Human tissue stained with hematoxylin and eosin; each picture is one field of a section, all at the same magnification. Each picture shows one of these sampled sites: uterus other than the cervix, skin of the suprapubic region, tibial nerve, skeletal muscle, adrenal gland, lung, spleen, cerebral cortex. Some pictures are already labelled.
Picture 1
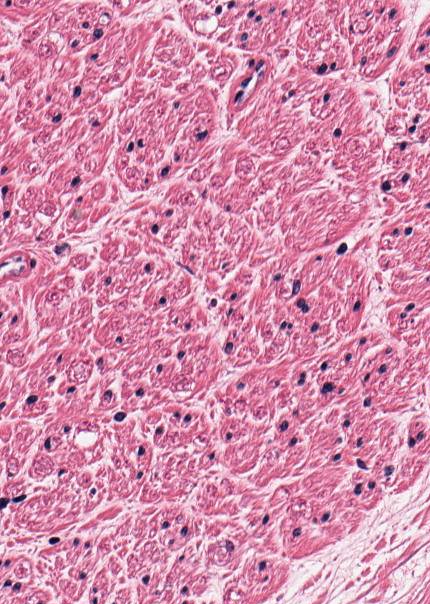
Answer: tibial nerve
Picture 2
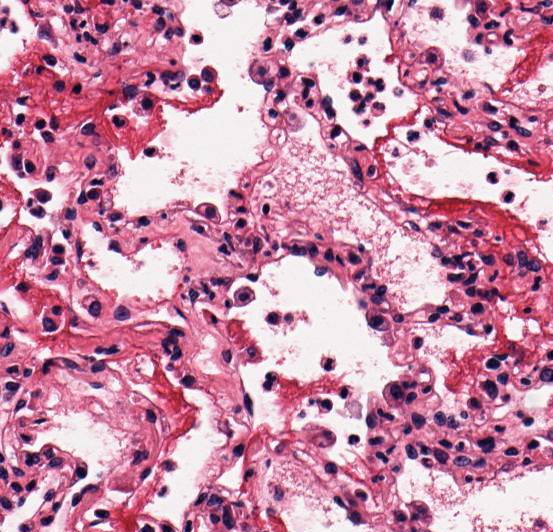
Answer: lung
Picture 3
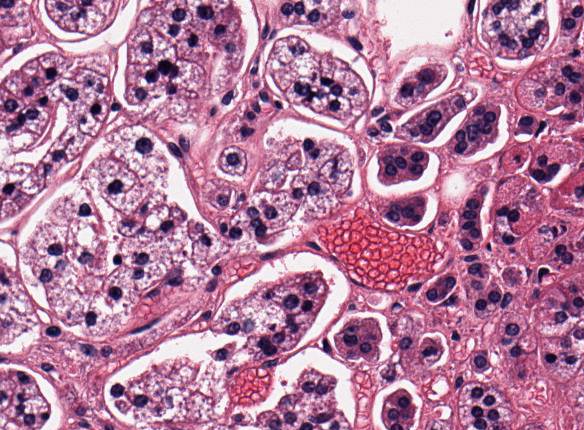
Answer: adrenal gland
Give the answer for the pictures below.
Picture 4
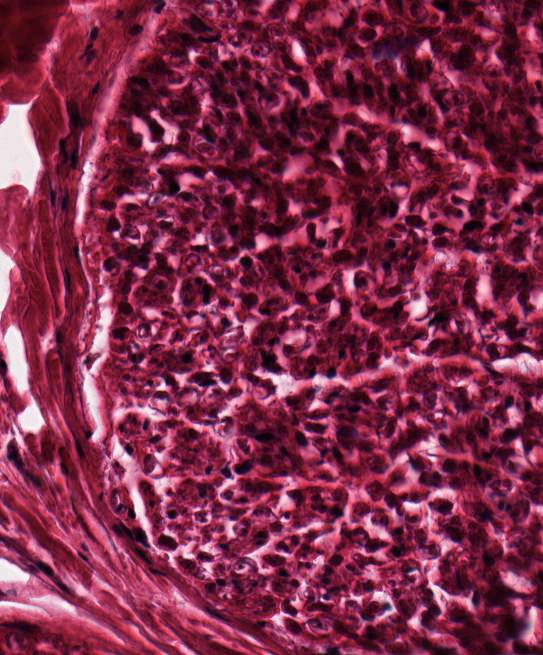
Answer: tibial nerve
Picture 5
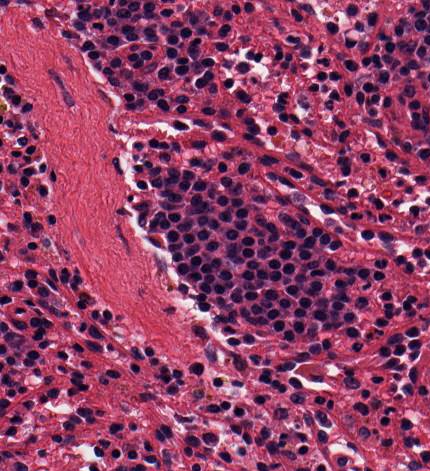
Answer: spleen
